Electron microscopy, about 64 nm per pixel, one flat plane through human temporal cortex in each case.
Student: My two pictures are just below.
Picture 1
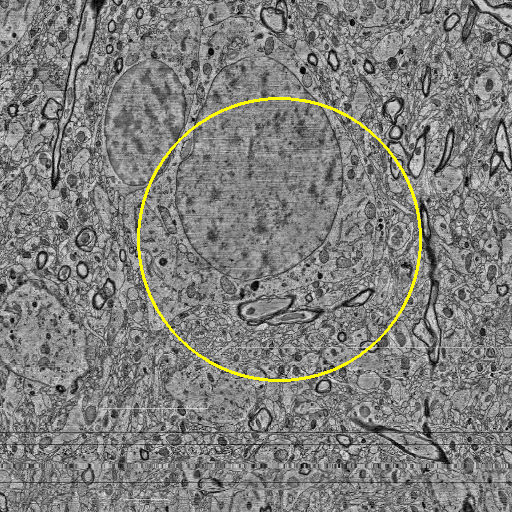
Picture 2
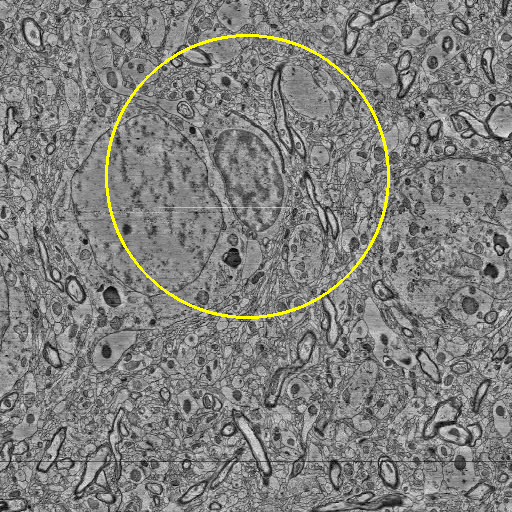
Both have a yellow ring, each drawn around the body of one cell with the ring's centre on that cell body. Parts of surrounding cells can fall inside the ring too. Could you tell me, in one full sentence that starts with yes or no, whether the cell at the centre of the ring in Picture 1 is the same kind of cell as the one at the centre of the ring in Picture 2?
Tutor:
No, the two cells are of two kinds.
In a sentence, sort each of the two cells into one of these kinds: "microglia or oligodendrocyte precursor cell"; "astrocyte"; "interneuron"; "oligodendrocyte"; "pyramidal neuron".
The first of the two cells is a pyramidal neuron, and the second is an oligodendrocyte.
